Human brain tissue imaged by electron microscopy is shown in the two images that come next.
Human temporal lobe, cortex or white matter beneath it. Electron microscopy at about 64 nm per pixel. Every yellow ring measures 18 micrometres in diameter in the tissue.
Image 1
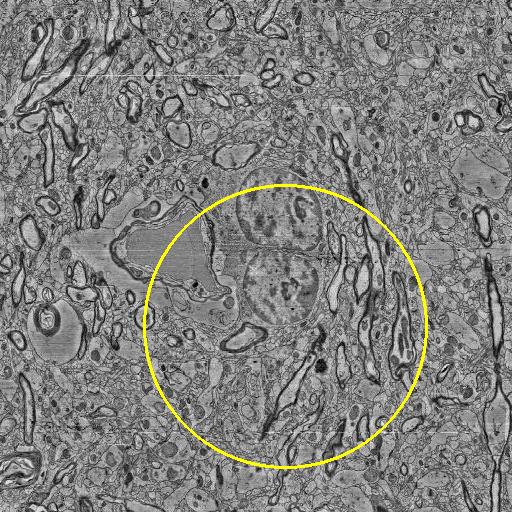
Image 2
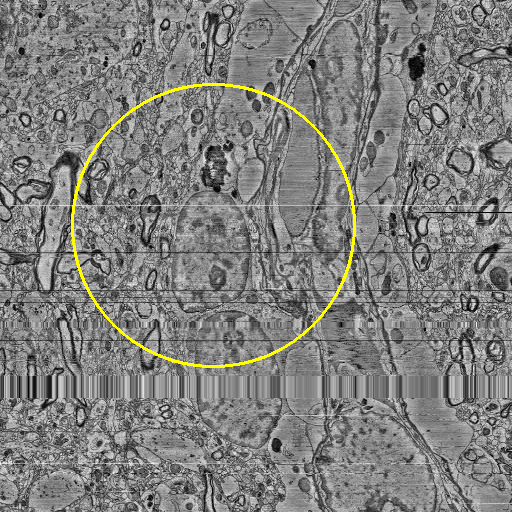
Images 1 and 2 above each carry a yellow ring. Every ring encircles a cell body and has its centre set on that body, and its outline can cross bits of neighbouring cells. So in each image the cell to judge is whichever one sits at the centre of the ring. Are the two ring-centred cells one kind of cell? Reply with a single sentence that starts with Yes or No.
Yes, in Image 1 and Image 2 the cells at the centres of their rings fall into one type.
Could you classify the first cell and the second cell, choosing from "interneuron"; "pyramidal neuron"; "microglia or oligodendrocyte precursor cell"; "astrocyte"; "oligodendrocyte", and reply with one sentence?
Each cell at the centre of a ring is an oligodendrocyte.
